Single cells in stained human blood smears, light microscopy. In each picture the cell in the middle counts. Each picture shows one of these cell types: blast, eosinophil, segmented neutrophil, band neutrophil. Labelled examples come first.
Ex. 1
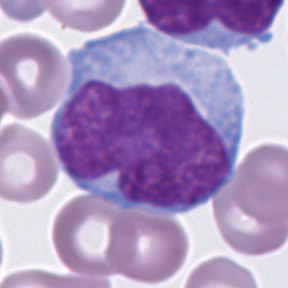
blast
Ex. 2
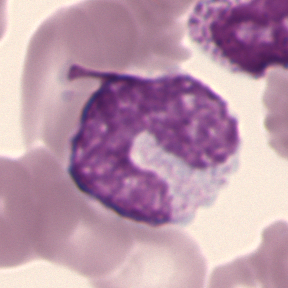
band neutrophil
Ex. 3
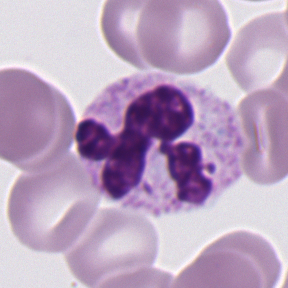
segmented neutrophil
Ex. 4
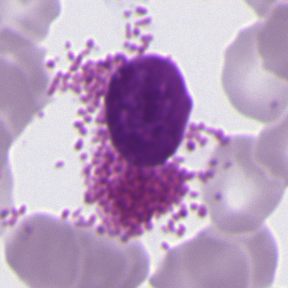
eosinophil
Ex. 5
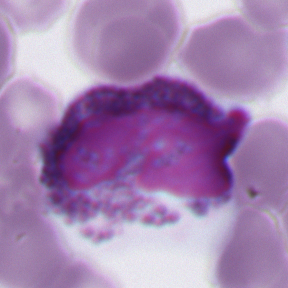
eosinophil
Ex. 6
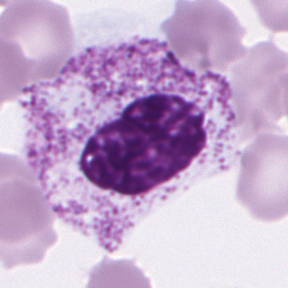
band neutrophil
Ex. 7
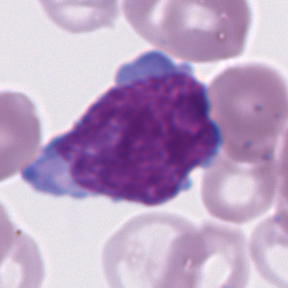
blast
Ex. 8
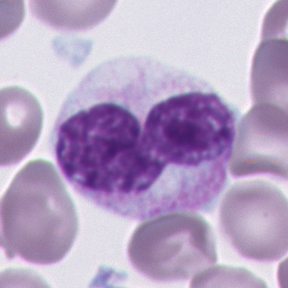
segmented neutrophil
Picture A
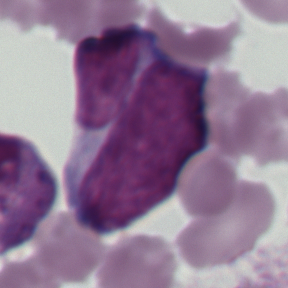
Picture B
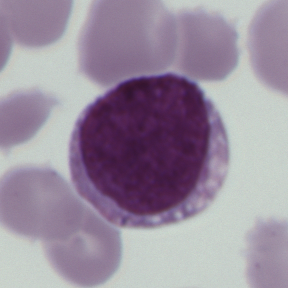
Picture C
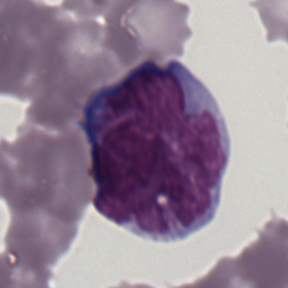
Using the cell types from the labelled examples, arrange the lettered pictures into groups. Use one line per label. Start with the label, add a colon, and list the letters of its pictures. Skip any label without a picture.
blast: A, B, C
